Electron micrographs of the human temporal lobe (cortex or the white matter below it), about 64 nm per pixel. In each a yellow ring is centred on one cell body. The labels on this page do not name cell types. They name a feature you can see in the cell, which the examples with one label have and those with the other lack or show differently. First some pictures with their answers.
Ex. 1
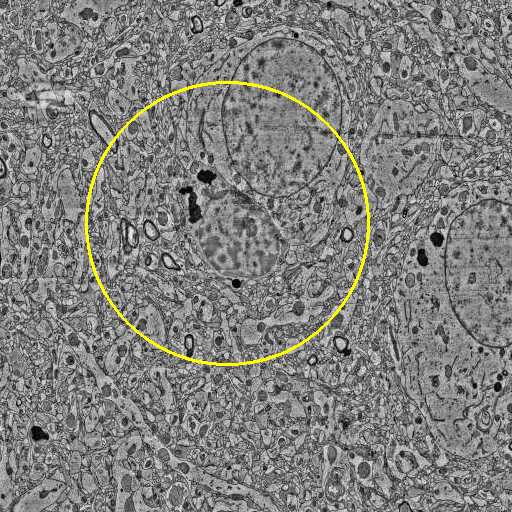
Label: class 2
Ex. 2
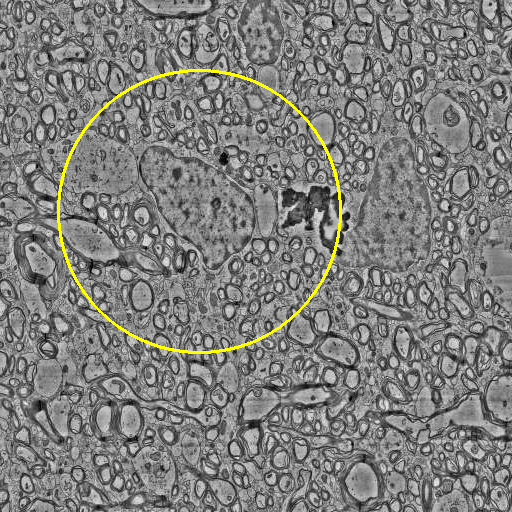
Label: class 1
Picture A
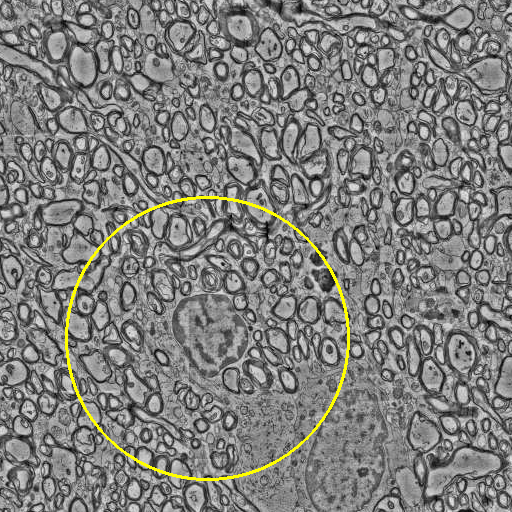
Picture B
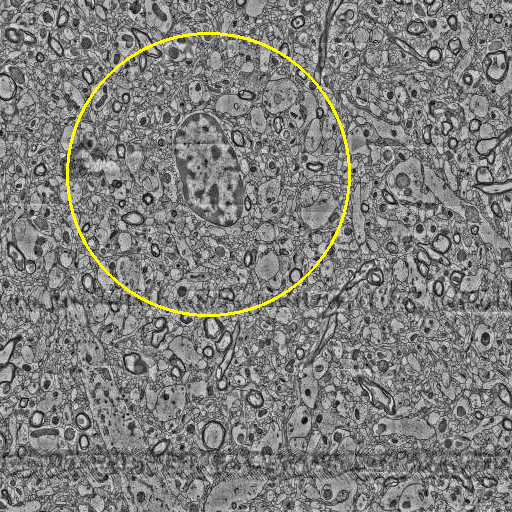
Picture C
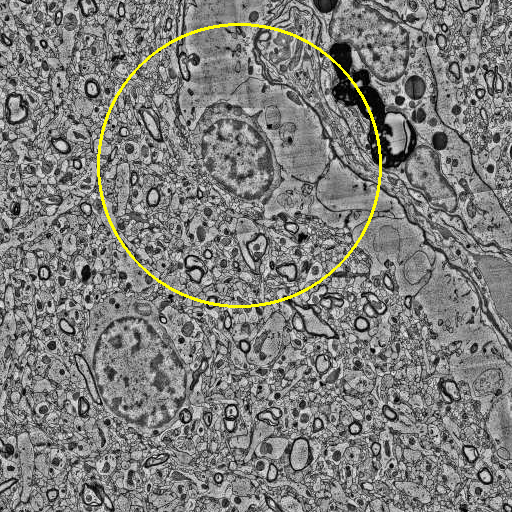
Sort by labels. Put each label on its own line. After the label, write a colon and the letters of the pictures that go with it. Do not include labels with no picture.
class 2: A, C
class 1: B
